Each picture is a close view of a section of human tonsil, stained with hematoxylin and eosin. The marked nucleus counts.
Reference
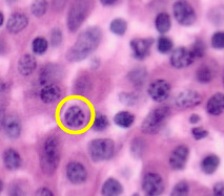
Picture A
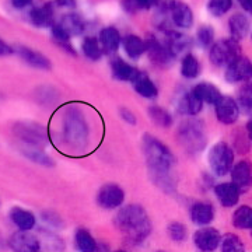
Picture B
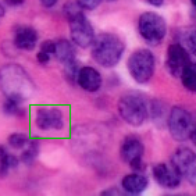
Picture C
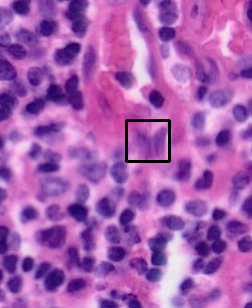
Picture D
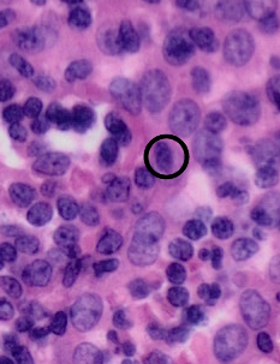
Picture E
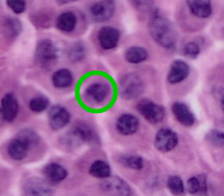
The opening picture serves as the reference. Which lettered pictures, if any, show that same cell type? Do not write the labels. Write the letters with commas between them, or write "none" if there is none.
E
